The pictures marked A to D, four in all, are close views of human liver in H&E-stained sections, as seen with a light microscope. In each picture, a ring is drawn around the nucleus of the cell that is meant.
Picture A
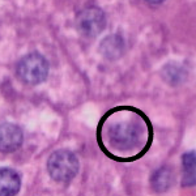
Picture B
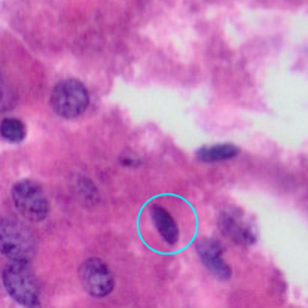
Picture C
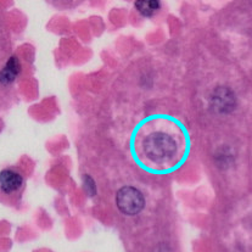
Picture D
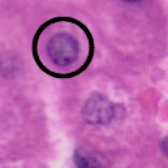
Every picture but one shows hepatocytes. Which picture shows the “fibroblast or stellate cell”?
B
